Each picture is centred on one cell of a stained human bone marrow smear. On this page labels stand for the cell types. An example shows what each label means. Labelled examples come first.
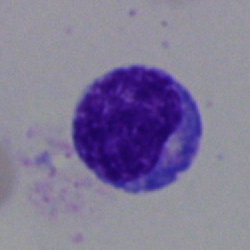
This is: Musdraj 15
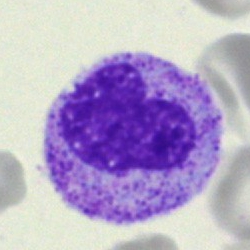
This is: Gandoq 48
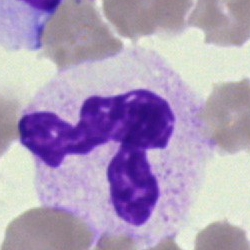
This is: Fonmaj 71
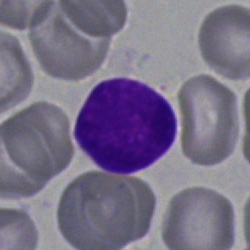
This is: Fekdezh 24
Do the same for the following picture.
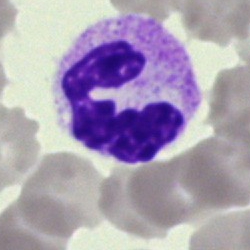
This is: Fonmaj 71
